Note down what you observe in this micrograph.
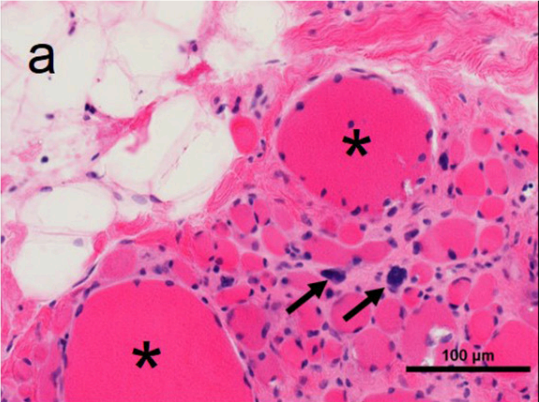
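This is skeletal muscle in cross-section showing marked variation in fiber size. A few very large, rounded, evenly pink fibers stand beside clusters of many small, rounded or angular atrophic fibers. Among the small fibers are dark purple, dense clumps of nuclei. Nuclei are increased in the spaces between the small fibers. At the upper left, the muscle is replaced by clear, empty-looking fat cells.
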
